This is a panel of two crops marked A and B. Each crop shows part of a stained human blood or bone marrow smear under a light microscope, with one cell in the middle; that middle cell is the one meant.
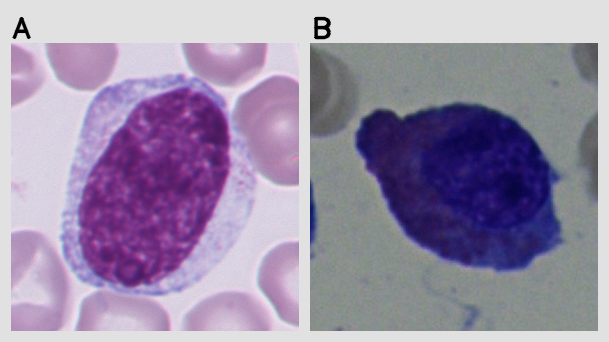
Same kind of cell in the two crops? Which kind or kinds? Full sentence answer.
No, the cell centred in crop B is an eosinophil; crop A centres on a promyelocyte.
